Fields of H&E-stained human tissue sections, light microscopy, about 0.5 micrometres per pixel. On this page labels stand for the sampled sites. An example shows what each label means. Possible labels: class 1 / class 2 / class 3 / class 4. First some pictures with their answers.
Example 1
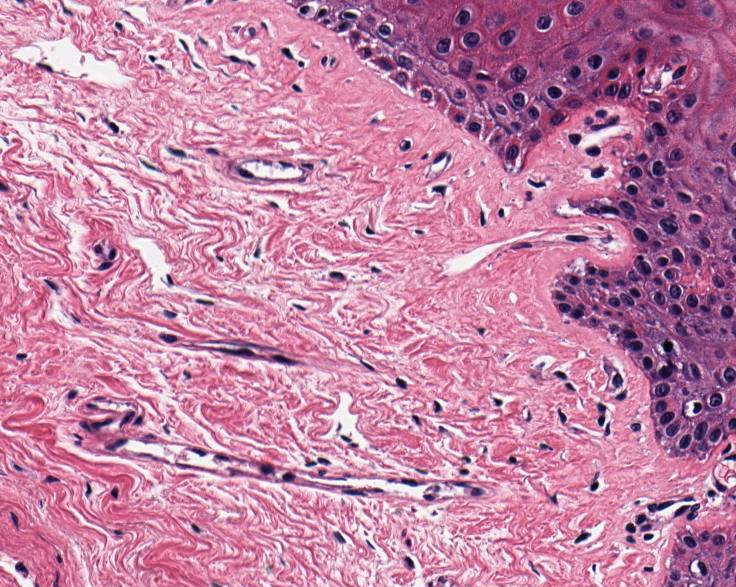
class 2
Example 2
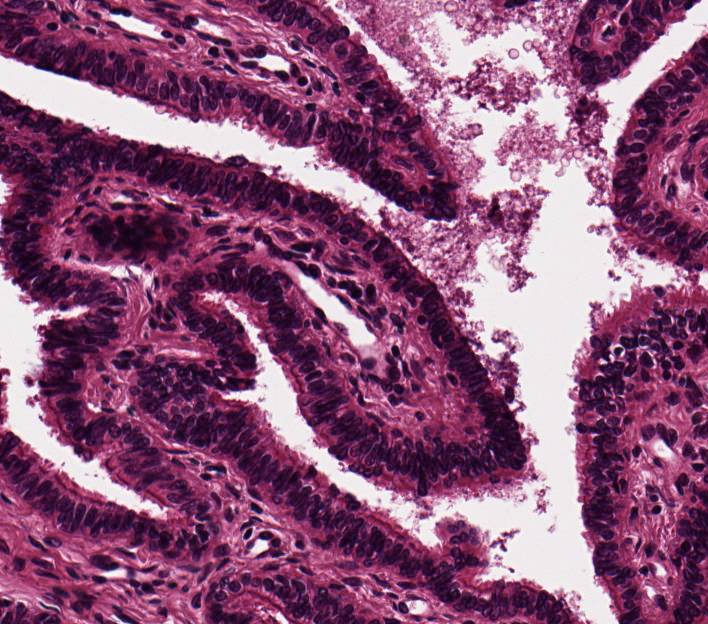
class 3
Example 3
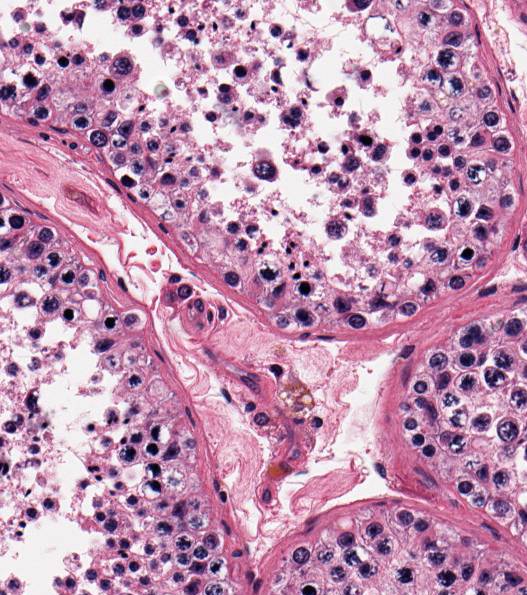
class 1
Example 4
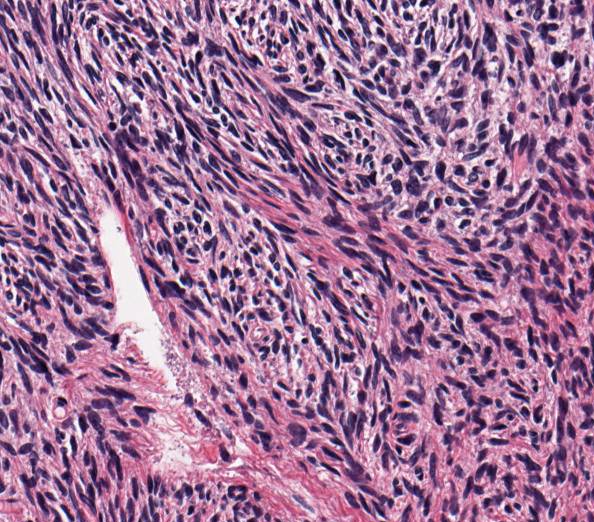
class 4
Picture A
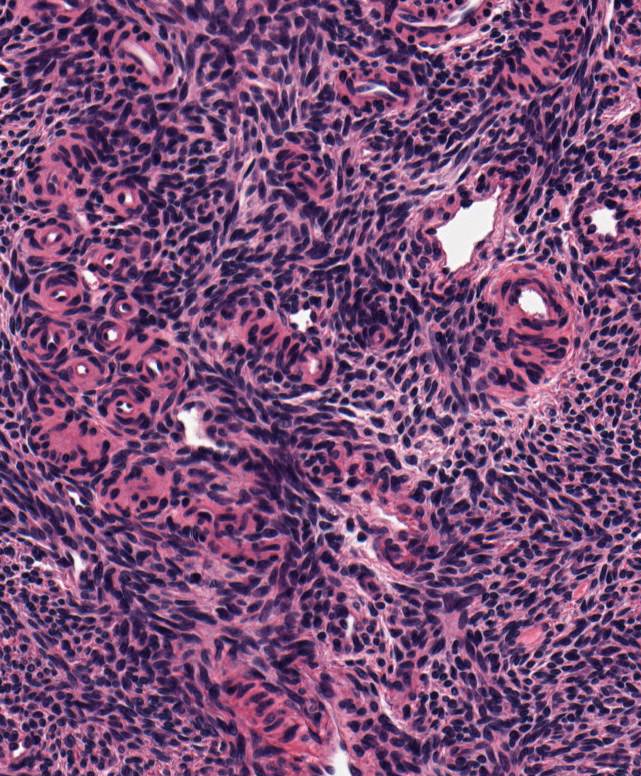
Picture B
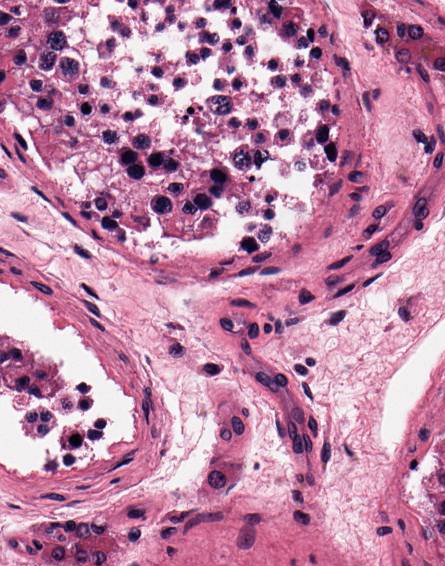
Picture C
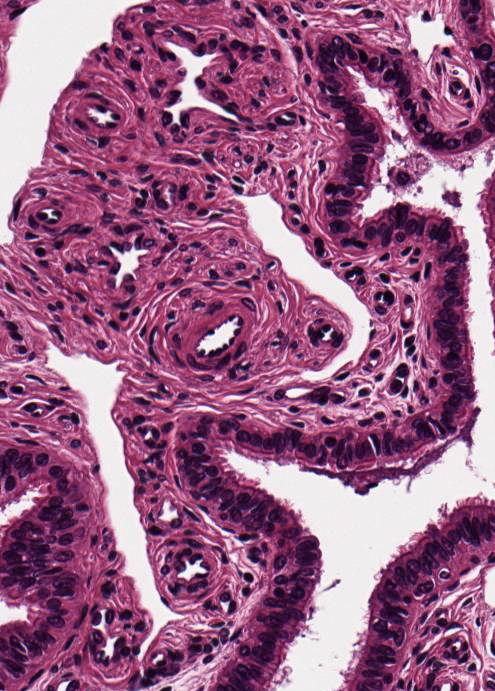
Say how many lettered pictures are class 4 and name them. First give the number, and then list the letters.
1: A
